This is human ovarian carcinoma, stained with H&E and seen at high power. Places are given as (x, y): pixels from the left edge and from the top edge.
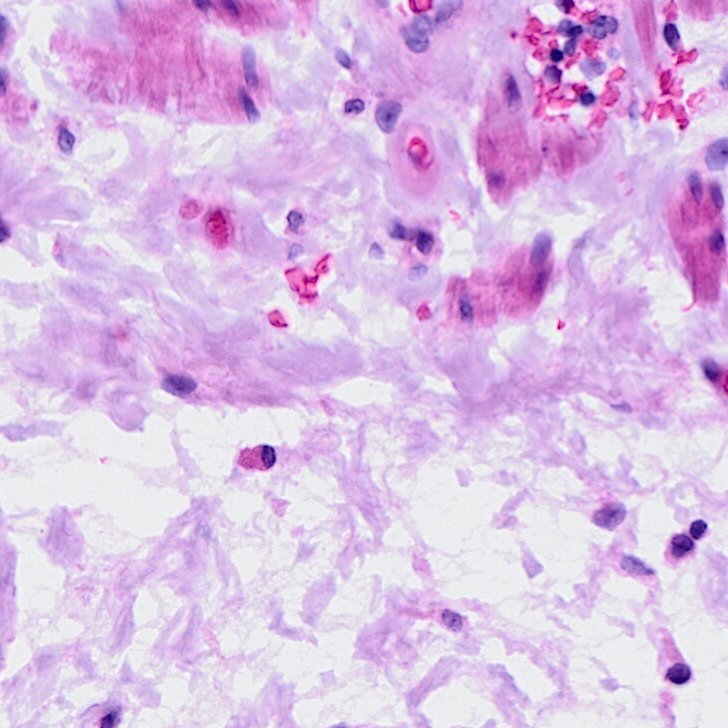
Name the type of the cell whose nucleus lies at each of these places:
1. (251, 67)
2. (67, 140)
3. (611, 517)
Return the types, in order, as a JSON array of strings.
["smooth muscle cell", "macrophage or monocyte", "fibroblast"]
